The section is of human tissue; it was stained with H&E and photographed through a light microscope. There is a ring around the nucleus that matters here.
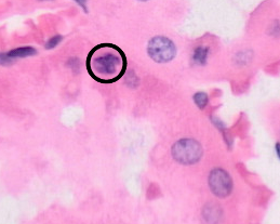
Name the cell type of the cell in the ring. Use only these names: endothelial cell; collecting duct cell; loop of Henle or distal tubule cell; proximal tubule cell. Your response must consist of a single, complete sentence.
In short, the cell in the ring on this section is a proximal tubule cell.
